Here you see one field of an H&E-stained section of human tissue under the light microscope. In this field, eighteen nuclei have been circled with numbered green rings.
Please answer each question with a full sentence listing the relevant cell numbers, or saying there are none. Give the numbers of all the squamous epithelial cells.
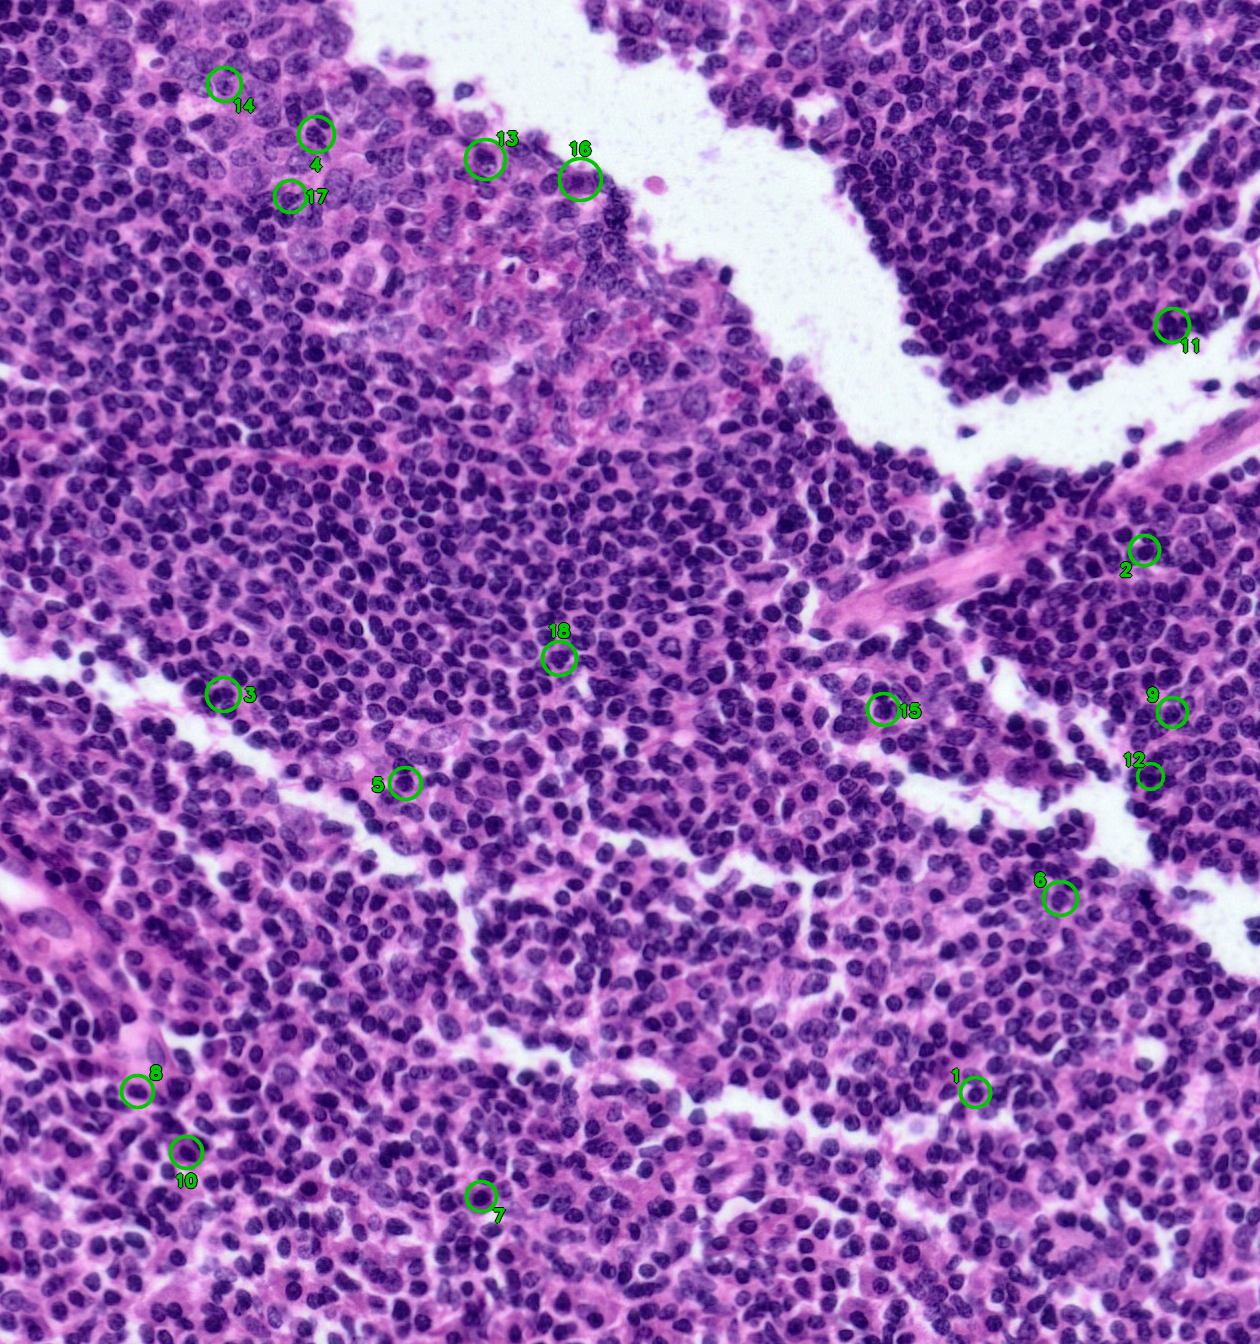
No numbered cell in this section is one of the squamous epithelial cells.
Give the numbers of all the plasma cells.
Cells 7 and 10 are classified as plasma cells.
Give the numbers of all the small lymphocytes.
In this section, the cells labelled 1, 2, 3, 5, 6, 9, 11, 12, 15 and 18 are small lymphocytes.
